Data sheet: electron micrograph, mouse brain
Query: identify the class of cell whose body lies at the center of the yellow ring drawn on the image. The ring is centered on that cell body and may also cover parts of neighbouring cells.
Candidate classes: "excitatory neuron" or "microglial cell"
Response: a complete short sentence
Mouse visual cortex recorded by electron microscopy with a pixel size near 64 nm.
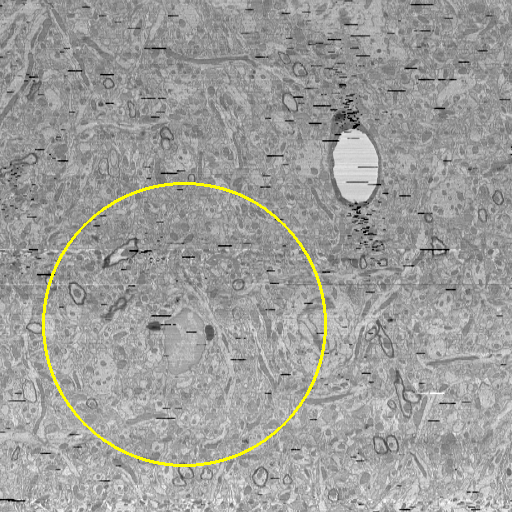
At the center of the ring lies a microglial cell.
